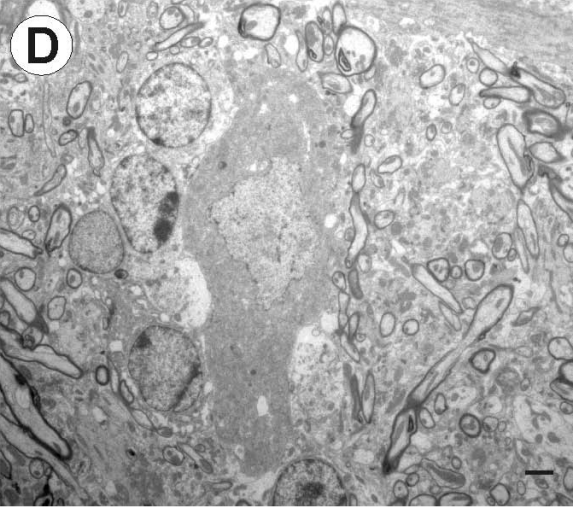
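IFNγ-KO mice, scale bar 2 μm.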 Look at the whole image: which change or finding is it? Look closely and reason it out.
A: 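Glial cells are in close contact with a degenerating neuron. Several small cells with round or oval nuclei line the left side of a large cell body. The large cell has an irregular, pale nucleus.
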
